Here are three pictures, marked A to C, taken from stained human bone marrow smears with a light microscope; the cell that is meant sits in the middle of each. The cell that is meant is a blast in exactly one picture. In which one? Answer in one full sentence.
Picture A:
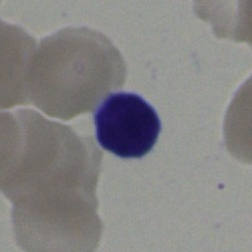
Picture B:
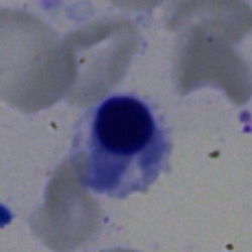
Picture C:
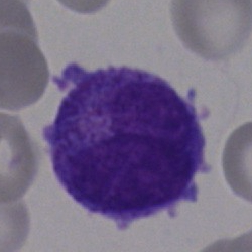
It is picture C that shows the blast.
